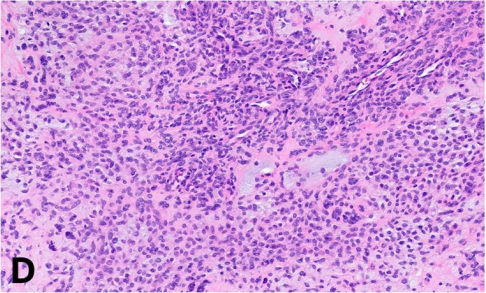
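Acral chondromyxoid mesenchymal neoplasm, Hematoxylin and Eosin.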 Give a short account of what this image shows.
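Cellular tumor composed of sheets of small round-to-ovoid cells with uniform, hyperchromatic ovoid nuclei and scant pale cytoplasm. The cells are densely packed with little variation in size or shape. Small pink hyalinized collagen strands and thin-walled vessels lie between the cells.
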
